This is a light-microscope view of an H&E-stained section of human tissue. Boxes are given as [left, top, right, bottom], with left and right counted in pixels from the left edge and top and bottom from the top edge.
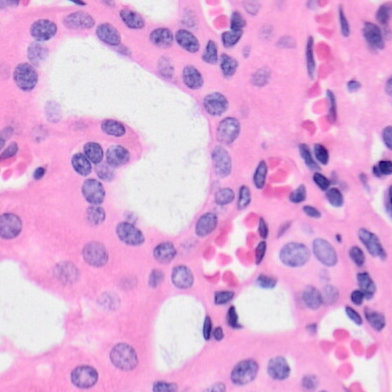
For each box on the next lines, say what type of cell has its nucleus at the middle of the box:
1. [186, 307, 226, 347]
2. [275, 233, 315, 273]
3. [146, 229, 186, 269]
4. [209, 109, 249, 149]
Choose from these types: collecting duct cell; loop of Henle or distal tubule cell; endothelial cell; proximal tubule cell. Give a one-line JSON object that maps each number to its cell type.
{"1": "endothelial cell", "2": "collecting duct cell", "3": "collecting duct cell", "4": "collecting duct cell"}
